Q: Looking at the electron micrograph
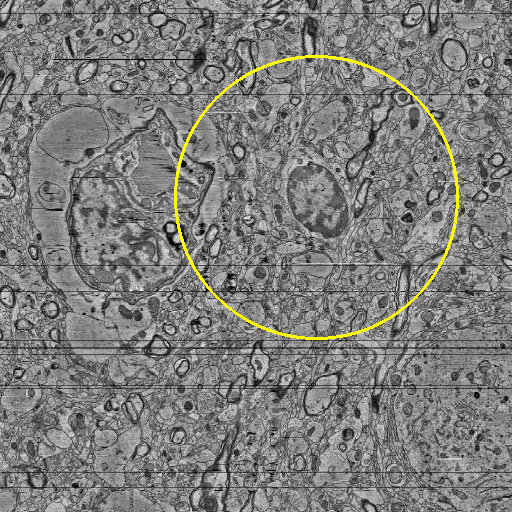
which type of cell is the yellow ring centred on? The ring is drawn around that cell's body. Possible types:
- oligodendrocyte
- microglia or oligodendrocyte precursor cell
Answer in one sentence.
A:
The yellow ring is centred on a microglial cell or oligodendrocyte precursor cell.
